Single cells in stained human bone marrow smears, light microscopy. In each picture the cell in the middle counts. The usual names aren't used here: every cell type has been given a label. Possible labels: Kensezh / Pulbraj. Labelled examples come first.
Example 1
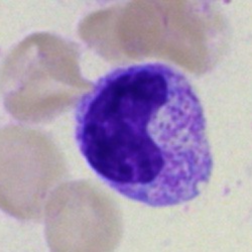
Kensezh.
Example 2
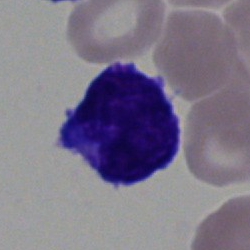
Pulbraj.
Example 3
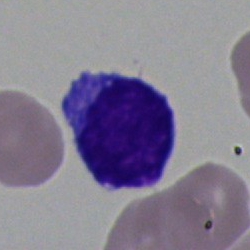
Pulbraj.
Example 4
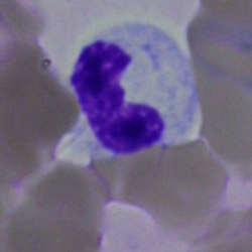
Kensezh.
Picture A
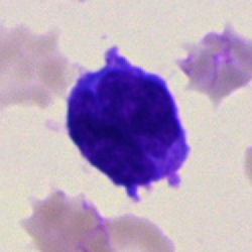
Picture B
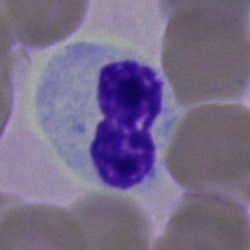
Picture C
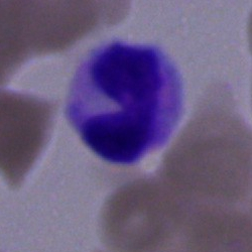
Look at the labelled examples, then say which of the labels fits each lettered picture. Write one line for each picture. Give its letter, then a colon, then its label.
A: Pulbraj.
B: Kensezh.
C: Kensezh.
